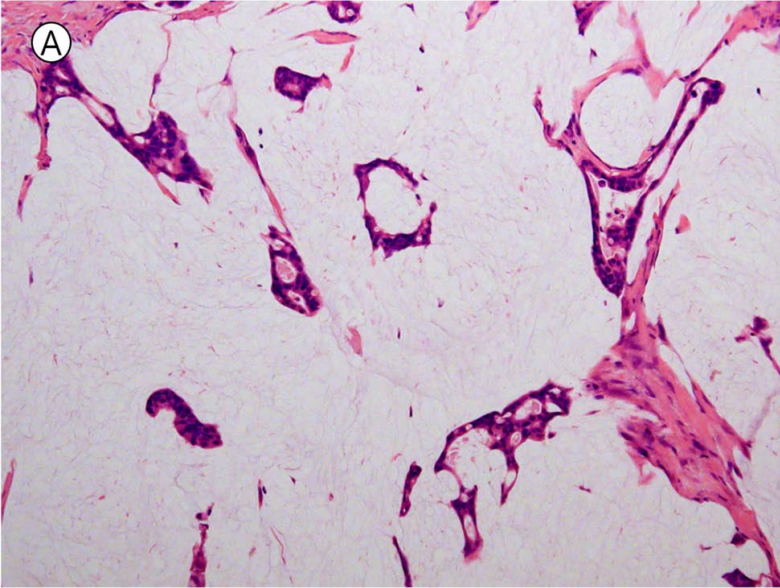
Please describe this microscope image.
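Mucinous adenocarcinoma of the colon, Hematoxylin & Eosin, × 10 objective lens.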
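Small strips and clusters of epithelial tumor cells with crowded, dark purple nuclei lie scattered across the field. They float within broad lakes of pale, wispy, faintly bluish-pink extracellular material that fills most of the picture. Some groups curve into small rings or gland-like shapes, a few with pale vacuolated cells inside. Thin bands of pink fibrous stroma with spindle-shaped nuclei cross between the lakes. The picture is that of tumor cells floating in a mucin pool.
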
